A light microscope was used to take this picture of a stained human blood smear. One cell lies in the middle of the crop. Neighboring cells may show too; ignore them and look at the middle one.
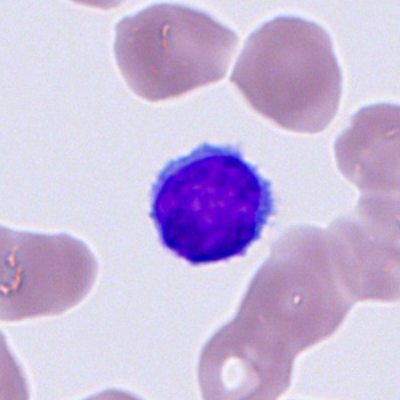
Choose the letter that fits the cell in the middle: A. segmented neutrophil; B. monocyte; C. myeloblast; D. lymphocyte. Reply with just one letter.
D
